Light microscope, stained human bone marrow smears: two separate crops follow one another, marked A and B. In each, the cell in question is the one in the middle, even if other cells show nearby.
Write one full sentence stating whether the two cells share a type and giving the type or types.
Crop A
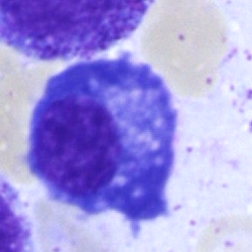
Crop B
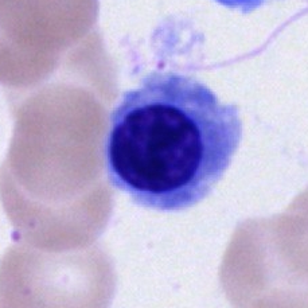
No, crop A contains a plasma cell; an erythroblast is what crop B contains.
